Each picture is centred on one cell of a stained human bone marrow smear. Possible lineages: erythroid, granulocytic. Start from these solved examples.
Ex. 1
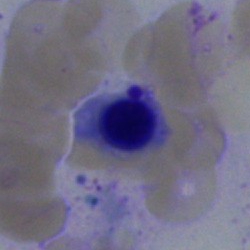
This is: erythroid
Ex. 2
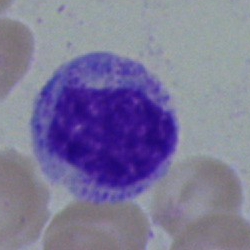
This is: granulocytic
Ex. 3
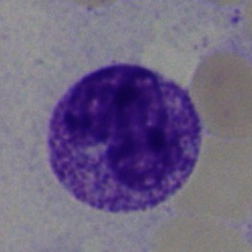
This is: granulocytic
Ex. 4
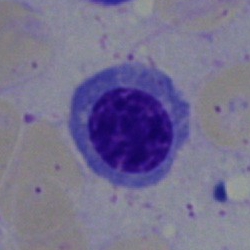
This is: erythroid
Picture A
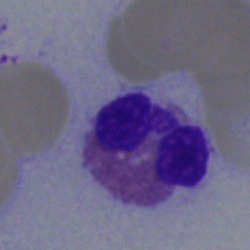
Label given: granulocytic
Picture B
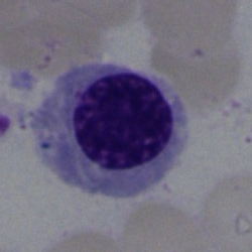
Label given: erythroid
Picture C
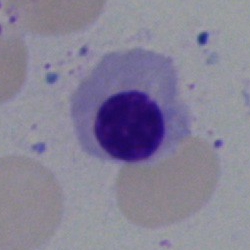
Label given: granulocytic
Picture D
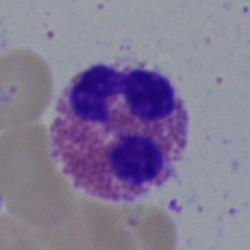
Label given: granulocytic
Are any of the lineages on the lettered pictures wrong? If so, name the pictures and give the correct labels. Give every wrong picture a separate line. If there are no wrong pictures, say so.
C is labelled granulocytic; correct label: erythroid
